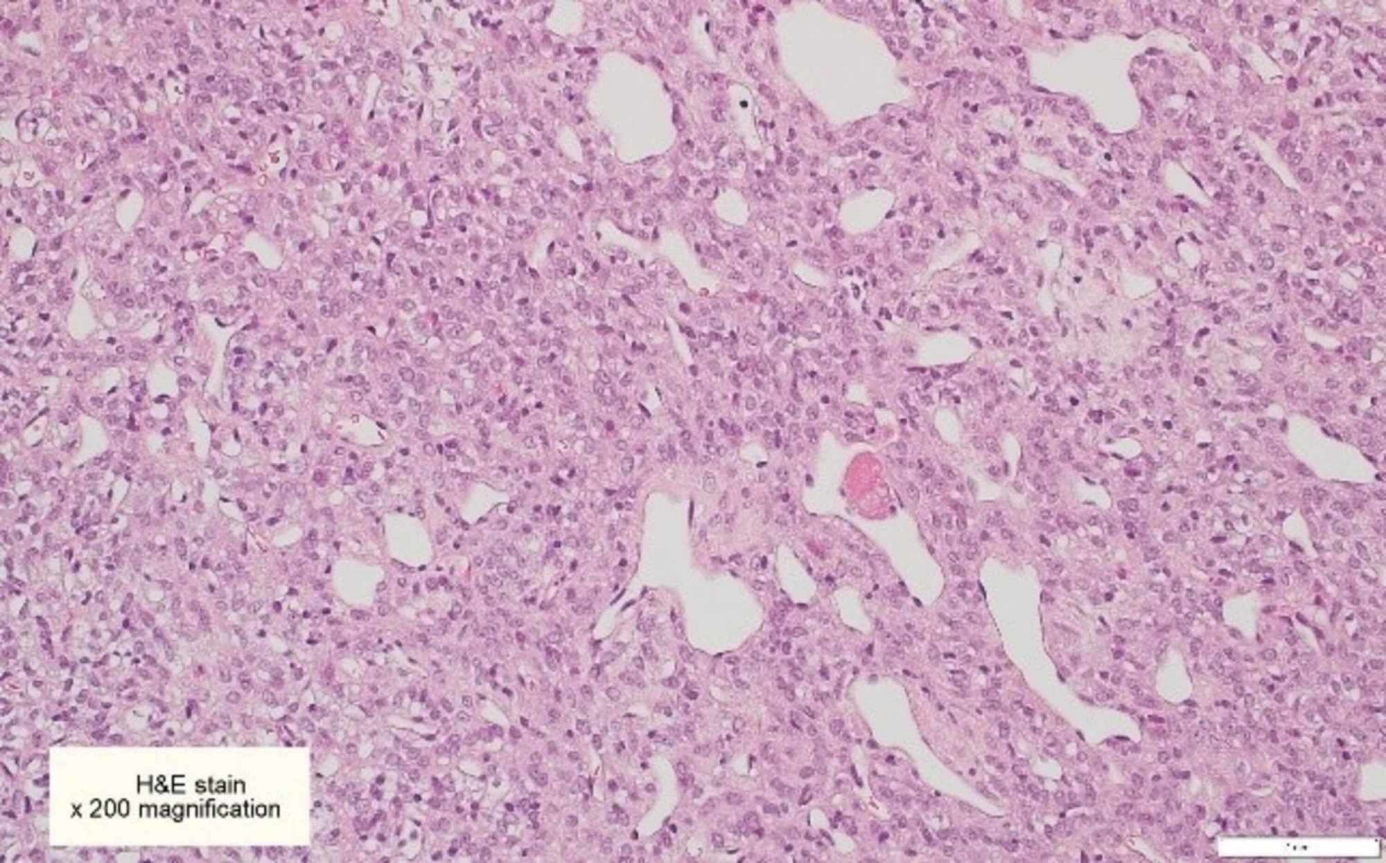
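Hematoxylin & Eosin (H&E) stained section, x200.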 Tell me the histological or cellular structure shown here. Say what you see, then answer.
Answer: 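Numerous gaping and occasionally branching blood vessels. Many open, empty lumens of varying size are scattered through the tissue. Some lumens are elongated and give off branches. One lumen contains a clump of red blood cells.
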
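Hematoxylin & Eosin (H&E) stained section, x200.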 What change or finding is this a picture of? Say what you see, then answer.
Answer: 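Several vessel lumens are irregular and angulated with branching, antler-like outlines.
Hence: “Staghorn” appearance.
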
